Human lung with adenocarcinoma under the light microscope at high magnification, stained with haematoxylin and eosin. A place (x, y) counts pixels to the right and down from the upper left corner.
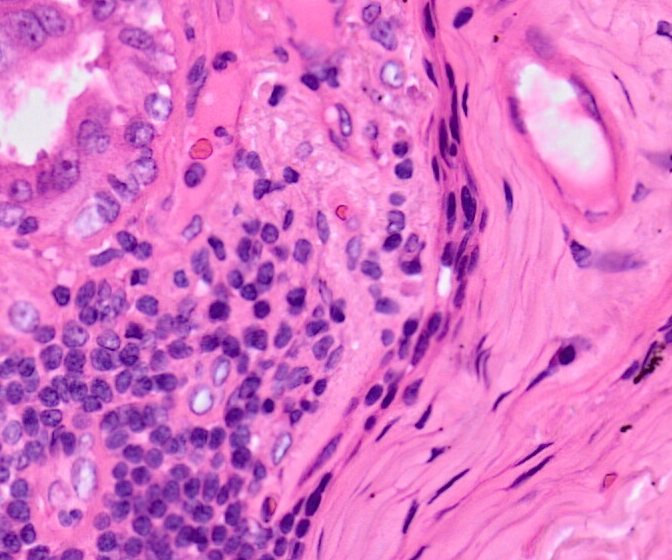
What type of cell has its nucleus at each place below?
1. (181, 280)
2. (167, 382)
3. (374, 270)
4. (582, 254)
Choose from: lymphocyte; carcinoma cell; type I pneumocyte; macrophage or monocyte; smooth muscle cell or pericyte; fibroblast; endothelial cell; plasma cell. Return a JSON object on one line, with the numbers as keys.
{"1": "lymphocyte", "2": "lymphocyte", "3": "lymphocyte", "4": "fibroblast"}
